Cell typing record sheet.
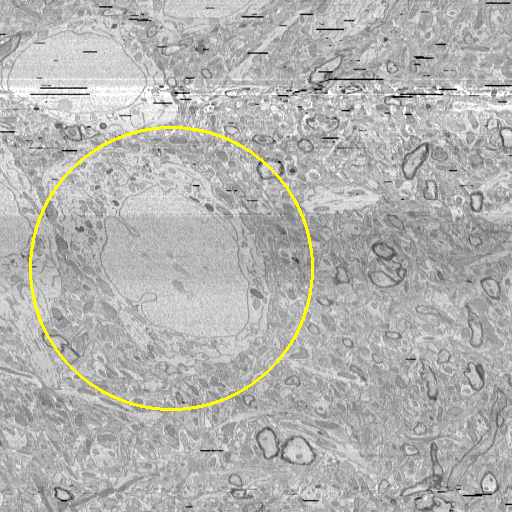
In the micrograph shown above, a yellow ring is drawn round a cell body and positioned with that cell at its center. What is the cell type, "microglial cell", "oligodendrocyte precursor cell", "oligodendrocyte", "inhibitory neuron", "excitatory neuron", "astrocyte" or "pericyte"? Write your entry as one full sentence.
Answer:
The cell body at the center of the ring belongs to an excitatory neuron.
